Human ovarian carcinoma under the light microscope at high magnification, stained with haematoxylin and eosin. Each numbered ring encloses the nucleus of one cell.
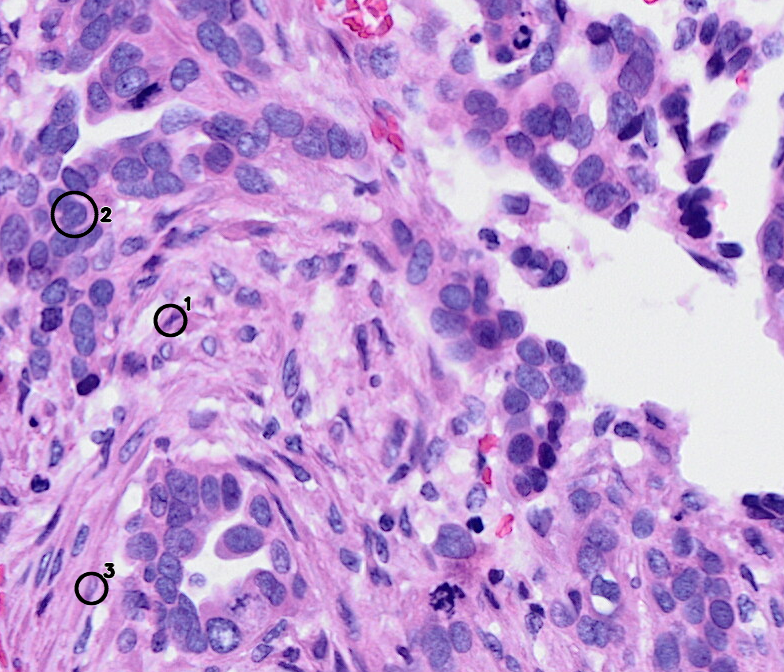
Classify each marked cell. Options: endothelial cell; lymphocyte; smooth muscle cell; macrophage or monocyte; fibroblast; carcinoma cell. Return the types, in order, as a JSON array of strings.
["fibroblast", "carcinoma cell", "fibroblast"]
